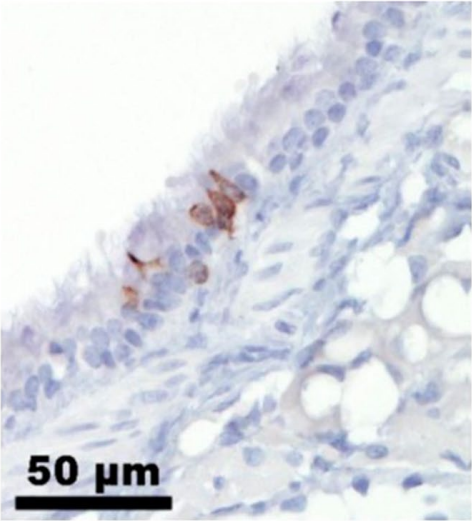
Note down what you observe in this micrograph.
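This is normal respiratory epithelium, lined by ciliated columnar epithelial cells. The cells are tall and carry a fringe of cilia on their free surface. Their oval blue nuclei lie at several different heights, giving a stratified look to a single layer. Beneath the epithelium lies loose connective tissue with elongated nuclei and some clear, rounded spaces.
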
